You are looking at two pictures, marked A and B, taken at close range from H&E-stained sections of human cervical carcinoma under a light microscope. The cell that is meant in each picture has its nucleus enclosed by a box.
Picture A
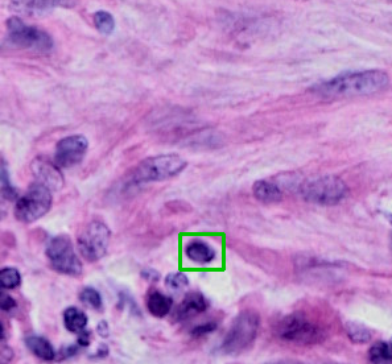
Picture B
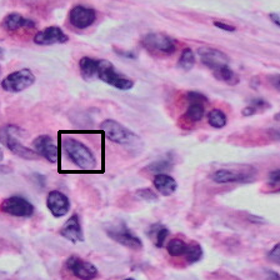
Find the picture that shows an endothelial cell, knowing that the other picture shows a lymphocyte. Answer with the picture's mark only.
B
